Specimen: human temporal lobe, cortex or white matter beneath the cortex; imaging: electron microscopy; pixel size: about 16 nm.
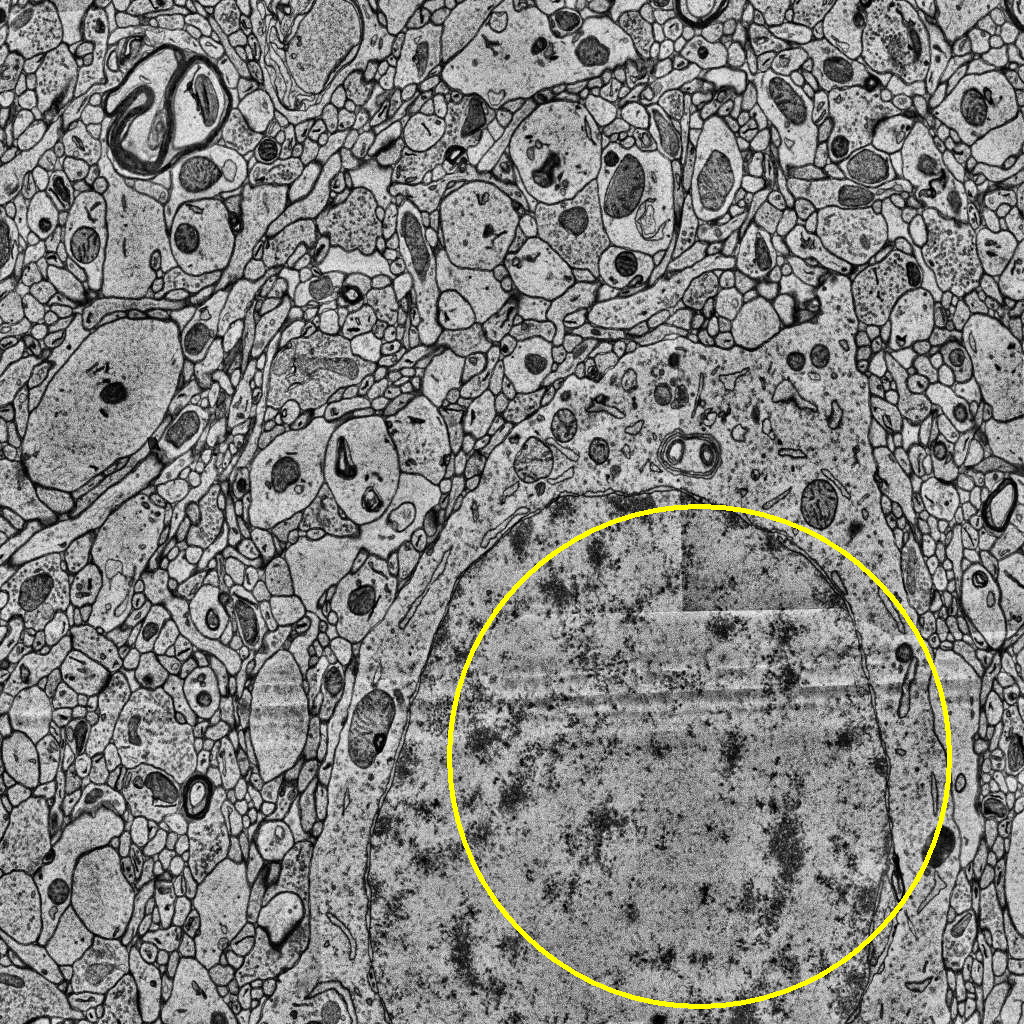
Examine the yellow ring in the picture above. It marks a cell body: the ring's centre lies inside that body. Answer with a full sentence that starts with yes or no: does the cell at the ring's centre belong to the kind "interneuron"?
Yes, the cell whose body contains the ring's centre in the image is of that kind.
